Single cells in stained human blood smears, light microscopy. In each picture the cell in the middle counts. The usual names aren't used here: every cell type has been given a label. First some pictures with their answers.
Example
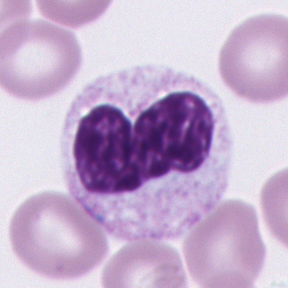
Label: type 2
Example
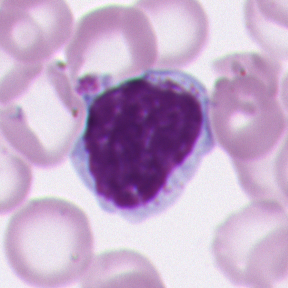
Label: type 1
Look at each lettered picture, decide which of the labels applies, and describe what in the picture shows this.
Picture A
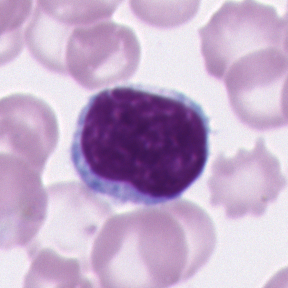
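Answer: type 1. The cytoplasm forms a narrow pale blue rim around the nucleus.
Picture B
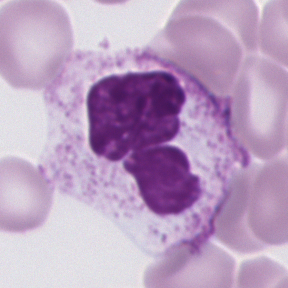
Answer: type 2. Abundant, very pale lilac-grey cytoplasm surrounds the nucleus on all sides.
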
